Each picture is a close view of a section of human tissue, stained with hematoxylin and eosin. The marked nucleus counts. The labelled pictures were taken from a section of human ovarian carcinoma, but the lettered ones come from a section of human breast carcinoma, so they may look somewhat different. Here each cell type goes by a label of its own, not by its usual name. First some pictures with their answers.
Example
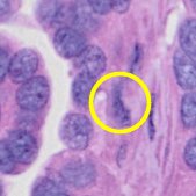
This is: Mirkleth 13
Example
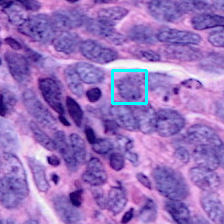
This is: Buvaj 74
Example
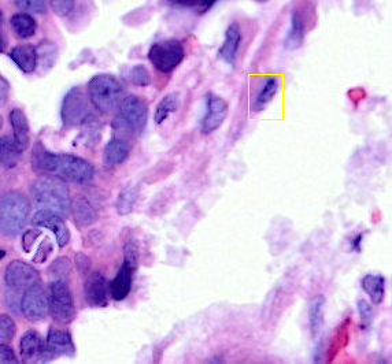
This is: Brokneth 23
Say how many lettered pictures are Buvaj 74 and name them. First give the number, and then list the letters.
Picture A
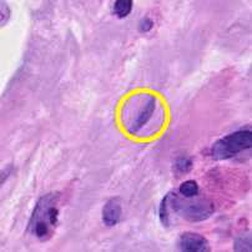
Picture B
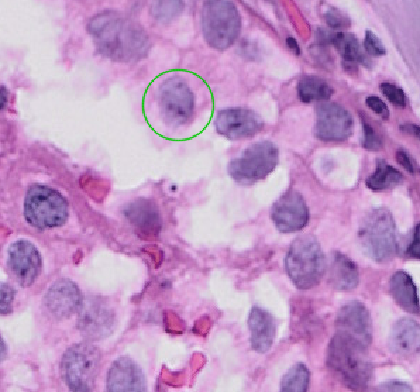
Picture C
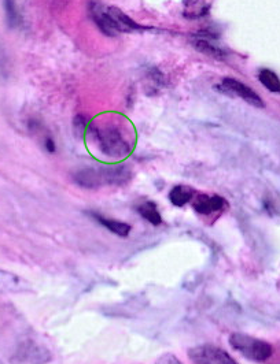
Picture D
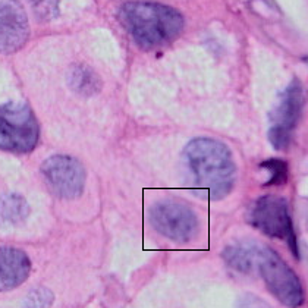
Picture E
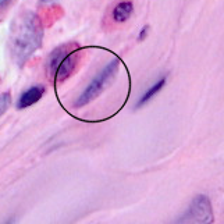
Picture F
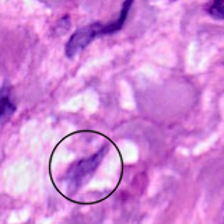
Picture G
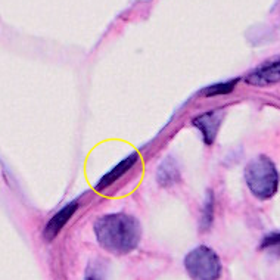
2: B, D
